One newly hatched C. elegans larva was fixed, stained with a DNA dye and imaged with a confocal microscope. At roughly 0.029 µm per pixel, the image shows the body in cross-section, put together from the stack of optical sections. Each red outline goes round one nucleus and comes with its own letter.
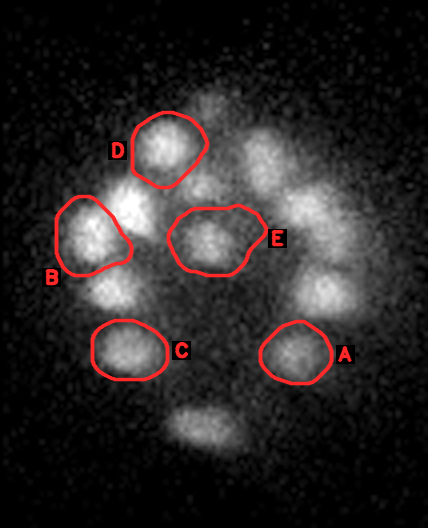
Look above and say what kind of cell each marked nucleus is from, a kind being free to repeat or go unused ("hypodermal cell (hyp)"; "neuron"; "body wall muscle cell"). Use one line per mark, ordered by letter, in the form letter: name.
A: body wall muscle cell
B: neuron
C: body wall muscle cell
D: neuron
E: neuron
